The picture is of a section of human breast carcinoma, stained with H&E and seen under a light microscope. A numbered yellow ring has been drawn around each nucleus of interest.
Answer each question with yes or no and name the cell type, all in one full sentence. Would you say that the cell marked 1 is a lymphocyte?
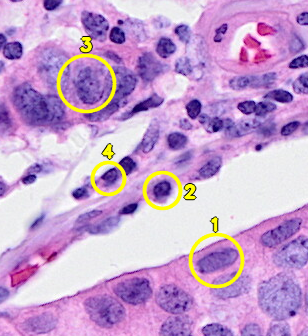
No, cell 1 does not represent a lymphocyte; it represents a carcinoma cell.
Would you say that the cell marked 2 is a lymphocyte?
Yes, the nucleus numbered 2 belongs to a lymphocyte.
